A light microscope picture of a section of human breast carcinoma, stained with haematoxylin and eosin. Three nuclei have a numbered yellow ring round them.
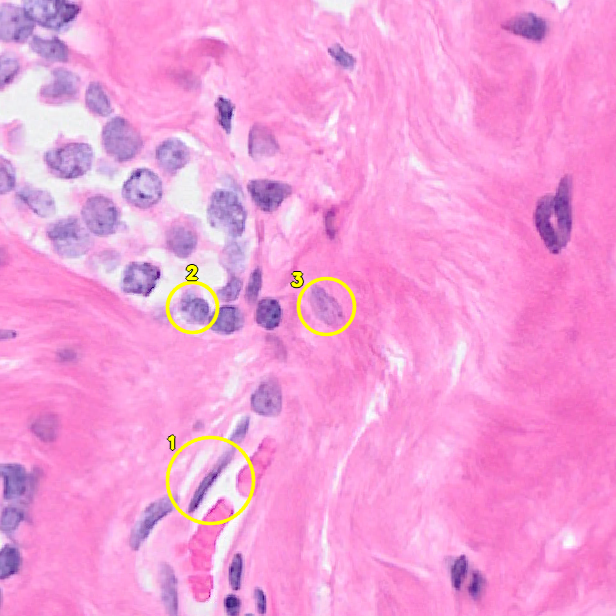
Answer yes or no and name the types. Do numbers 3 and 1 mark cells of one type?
No, mate, cell 3 is a fibroblast and cell 1 is an endothelial cell.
